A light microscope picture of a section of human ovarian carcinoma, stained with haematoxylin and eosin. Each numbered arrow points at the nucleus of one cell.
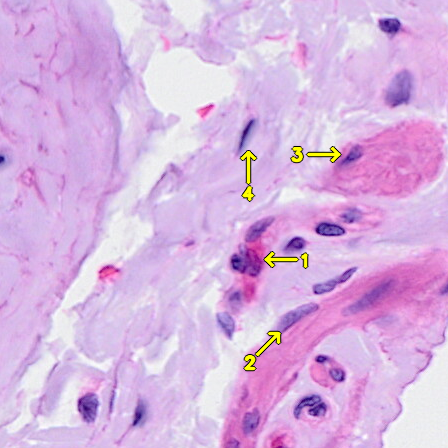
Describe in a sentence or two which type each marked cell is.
Cell 1 is an endothelial cell. Cells 2 and 3 are smooth muscle cells. Cell 4 is a fibroblast.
